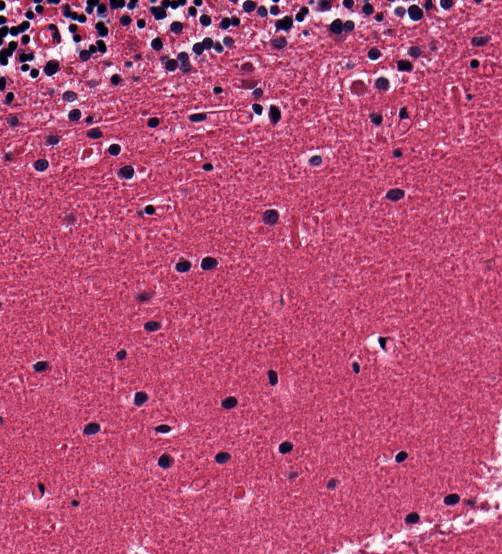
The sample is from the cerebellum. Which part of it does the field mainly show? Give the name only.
molecular layer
